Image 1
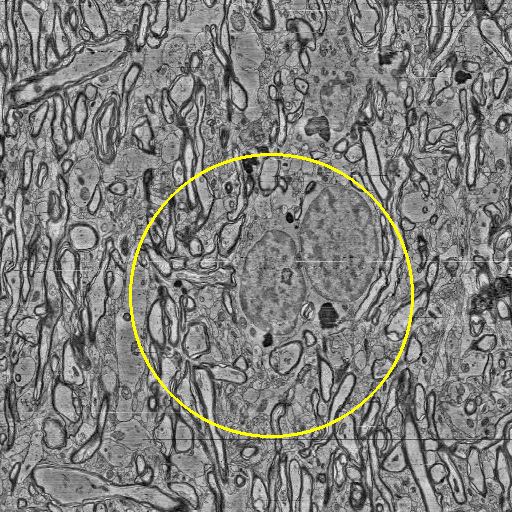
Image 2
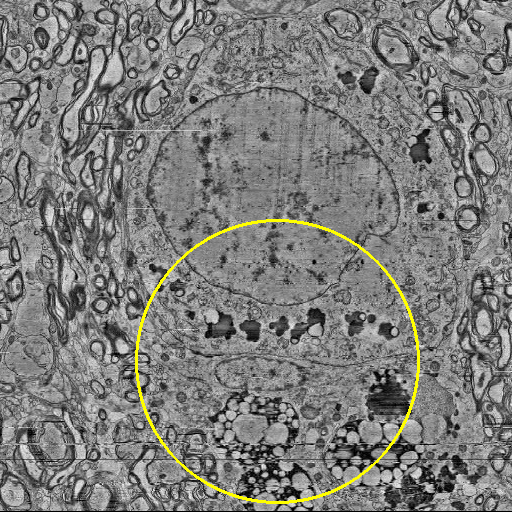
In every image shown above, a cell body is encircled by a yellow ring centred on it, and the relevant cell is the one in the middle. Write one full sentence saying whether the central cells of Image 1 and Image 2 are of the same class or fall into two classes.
The cell at the ring's centre in Image 1 and its counterpart in Image 2 fall into two classes.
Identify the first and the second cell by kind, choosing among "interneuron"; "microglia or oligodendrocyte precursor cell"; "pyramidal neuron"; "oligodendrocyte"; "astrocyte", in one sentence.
The one in the first picture is an oligodendrocyte, while the one in the second is an astrocyte.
